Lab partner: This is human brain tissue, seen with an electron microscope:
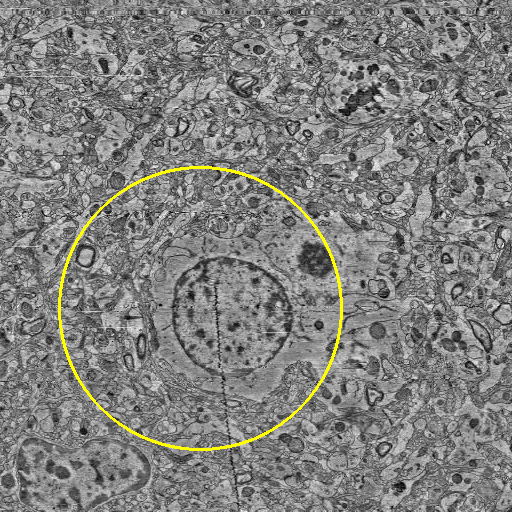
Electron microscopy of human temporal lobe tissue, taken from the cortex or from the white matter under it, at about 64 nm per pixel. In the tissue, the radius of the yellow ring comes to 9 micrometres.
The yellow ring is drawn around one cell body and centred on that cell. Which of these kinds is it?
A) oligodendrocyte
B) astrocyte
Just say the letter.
B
